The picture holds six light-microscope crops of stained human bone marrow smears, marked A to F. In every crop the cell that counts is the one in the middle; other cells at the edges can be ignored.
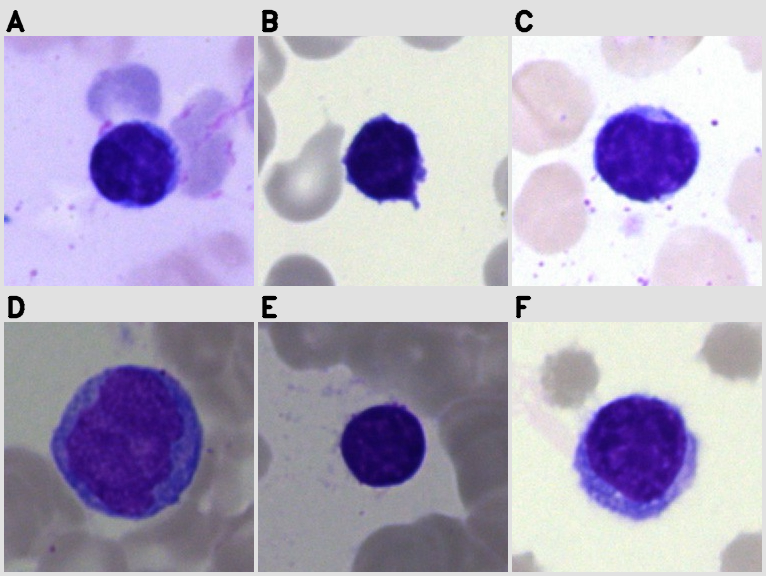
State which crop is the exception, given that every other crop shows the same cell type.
D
